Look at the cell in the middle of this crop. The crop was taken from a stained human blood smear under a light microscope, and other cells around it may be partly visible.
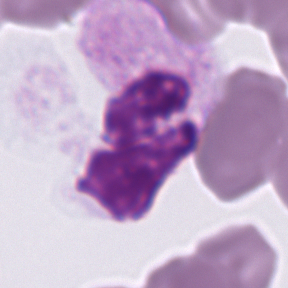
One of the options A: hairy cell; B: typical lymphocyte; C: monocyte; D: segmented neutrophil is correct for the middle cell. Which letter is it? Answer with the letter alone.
D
